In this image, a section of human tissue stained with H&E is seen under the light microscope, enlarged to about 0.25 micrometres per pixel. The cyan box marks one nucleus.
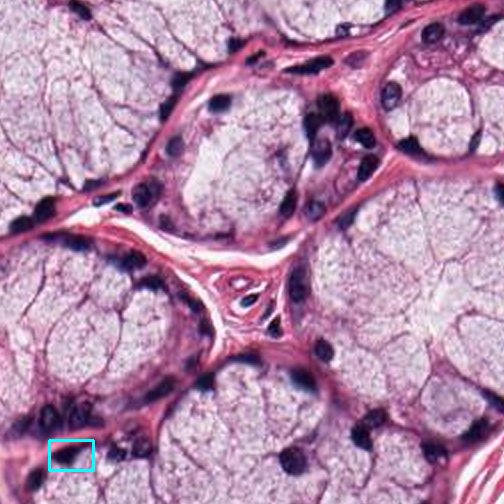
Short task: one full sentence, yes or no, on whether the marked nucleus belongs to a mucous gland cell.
Yes, in this image it is a mucous gland cell that contains the marked nucleus.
